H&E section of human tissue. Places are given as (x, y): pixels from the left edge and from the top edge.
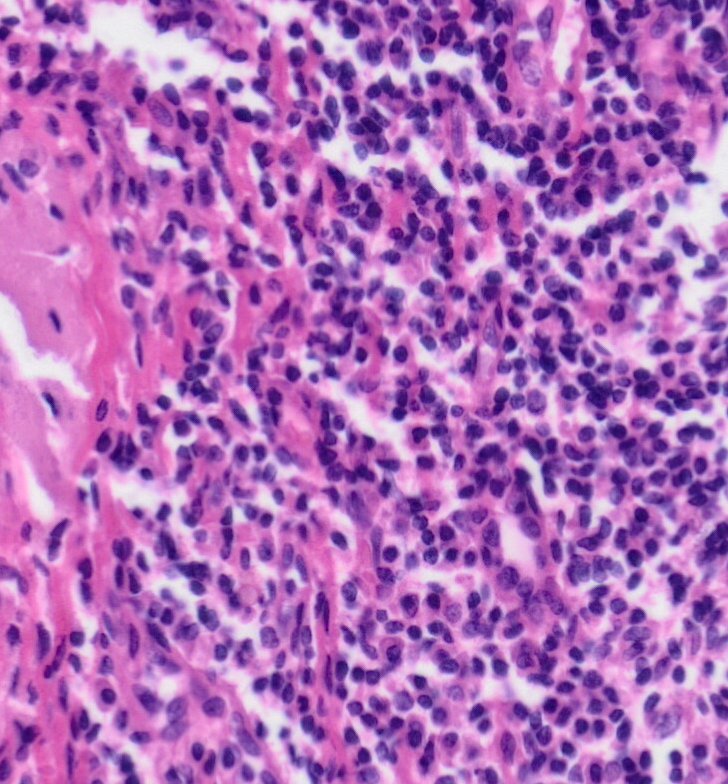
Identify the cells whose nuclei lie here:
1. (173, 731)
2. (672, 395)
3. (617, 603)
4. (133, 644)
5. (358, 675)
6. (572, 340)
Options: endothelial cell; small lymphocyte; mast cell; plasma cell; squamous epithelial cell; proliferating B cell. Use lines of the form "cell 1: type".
cell 1: endothelial cell
cell 2: small lymphocyte
cell 3: small lymphocyte
cell 4: endothelial cell
cell 5: small lymphocyte
cell 6: small lymphocyte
